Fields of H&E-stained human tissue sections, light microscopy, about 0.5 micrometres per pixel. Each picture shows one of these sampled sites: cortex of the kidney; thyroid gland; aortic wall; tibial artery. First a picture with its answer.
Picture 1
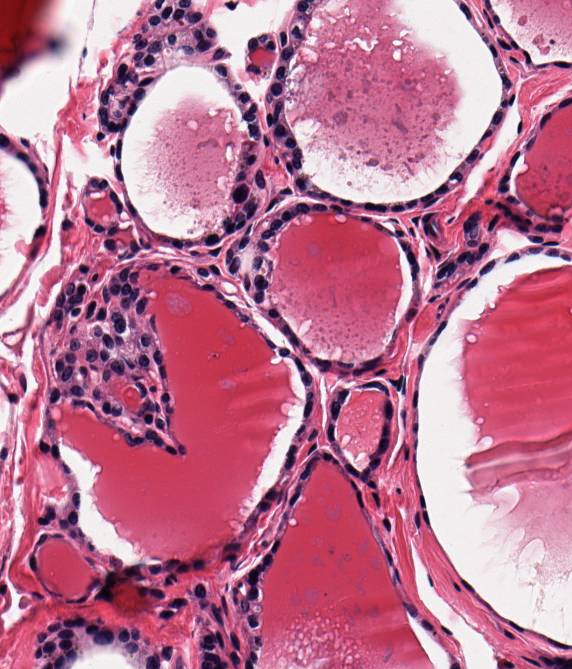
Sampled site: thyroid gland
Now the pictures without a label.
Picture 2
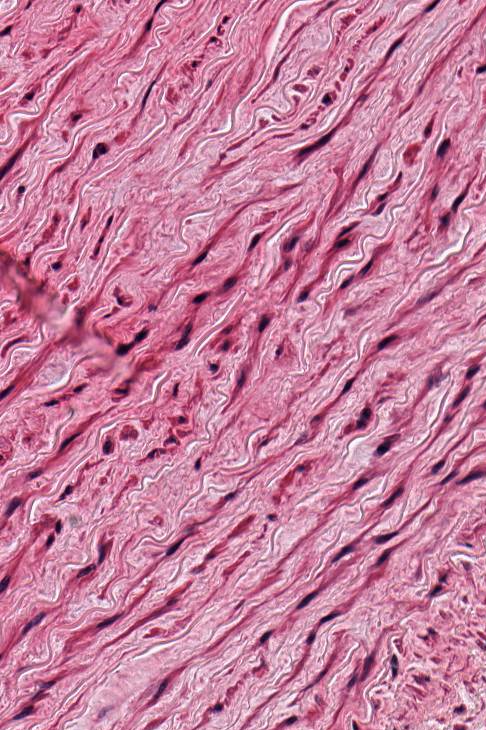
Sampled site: aortic wall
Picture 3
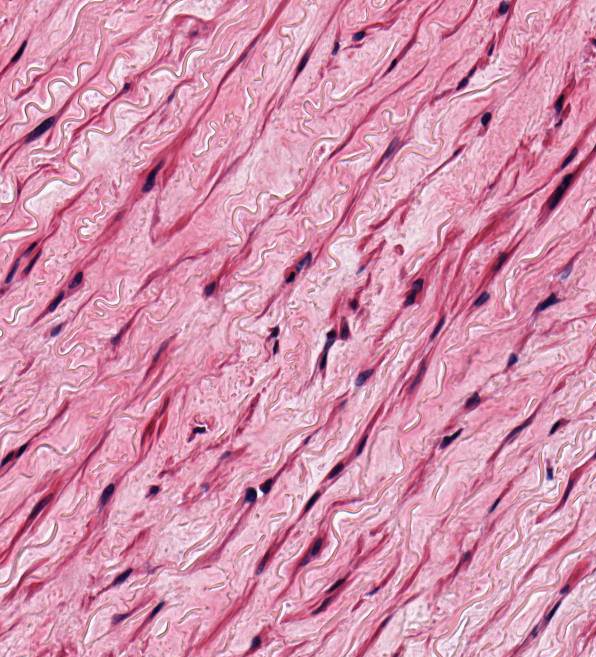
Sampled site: aortic wall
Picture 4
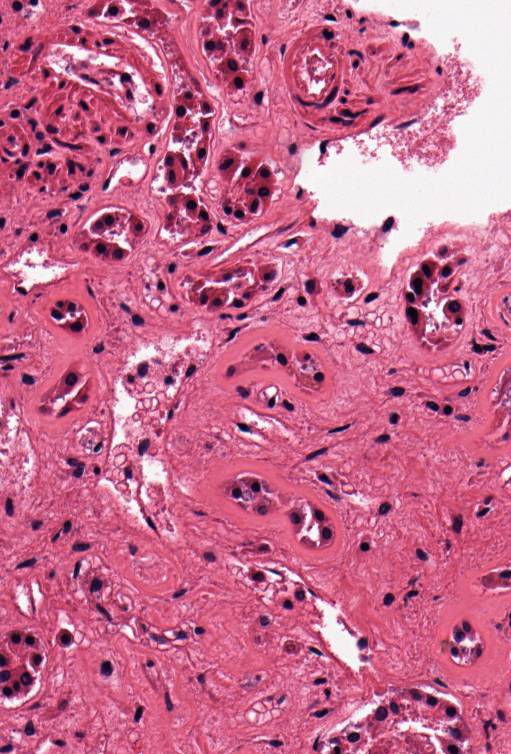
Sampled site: cortex of the kidney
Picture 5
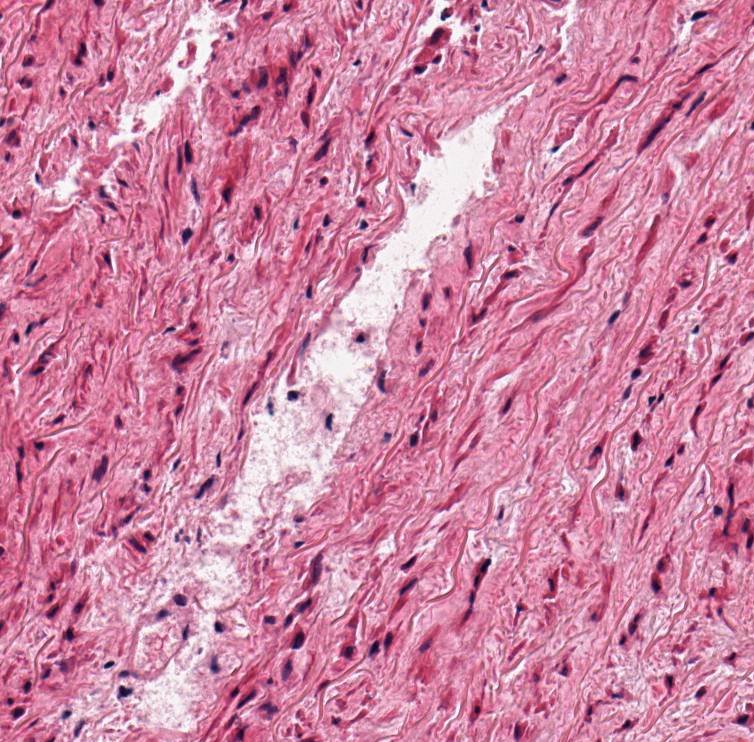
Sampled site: aortic wall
